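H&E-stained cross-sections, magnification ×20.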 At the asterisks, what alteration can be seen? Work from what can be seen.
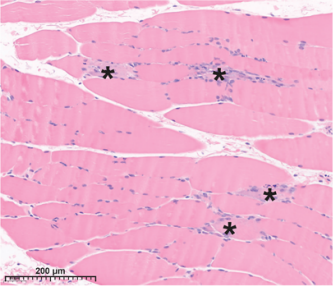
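Damaged muscle fibers. The asterisks sit on small foci crowded with blue nuclei among the pink fibers. At these foci the pink fiber substance is interrupted and paler.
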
